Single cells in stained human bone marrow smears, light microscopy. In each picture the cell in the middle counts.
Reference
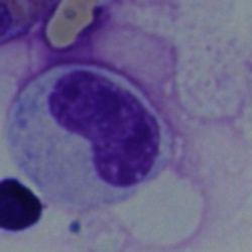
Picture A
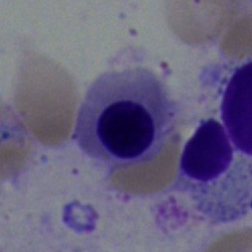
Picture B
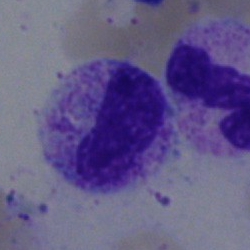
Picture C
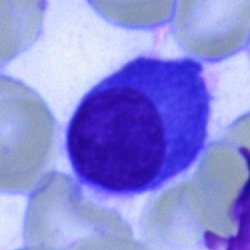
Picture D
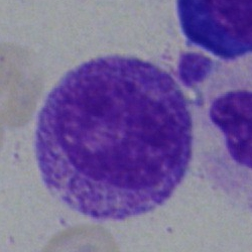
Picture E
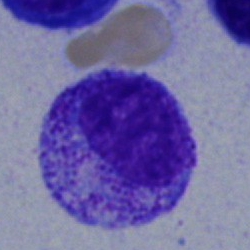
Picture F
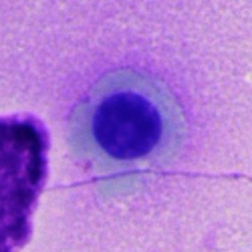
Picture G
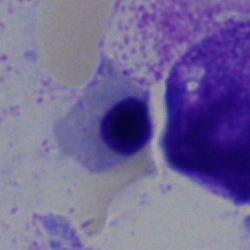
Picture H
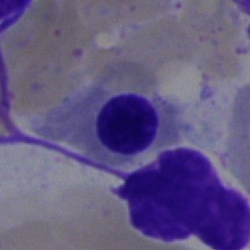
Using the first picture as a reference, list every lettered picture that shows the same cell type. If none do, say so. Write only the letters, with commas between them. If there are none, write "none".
B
